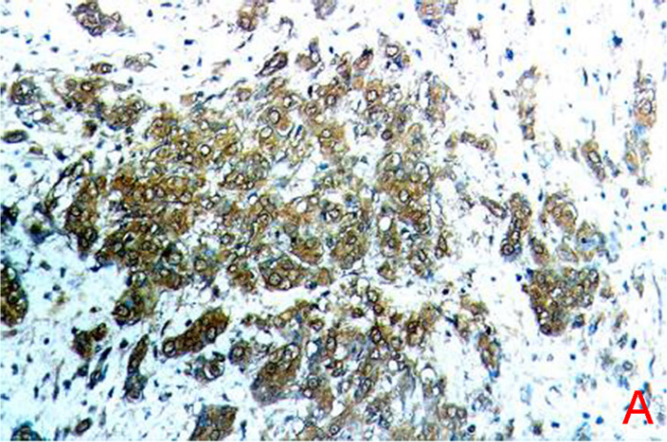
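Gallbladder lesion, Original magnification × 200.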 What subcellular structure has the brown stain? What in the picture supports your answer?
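The brown colour fills the cell bodies around the nuclei. Nuclei appear as pale or blue centres inside the brown cytoplasm.
Hence: cytoplasm and/or cell membrane.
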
